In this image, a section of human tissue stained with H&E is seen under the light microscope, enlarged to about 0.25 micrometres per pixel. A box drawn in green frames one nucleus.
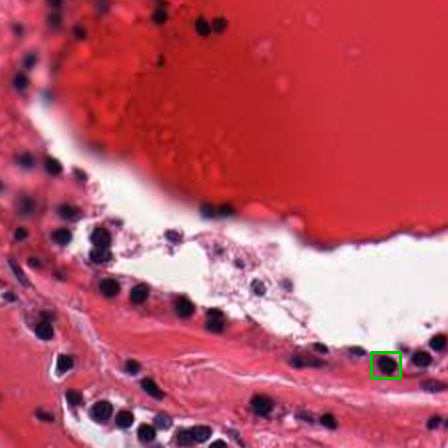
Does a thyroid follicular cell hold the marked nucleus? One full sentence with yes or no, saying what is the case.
Yes, the marked nucleus is the nucleus belonging to a thyroid follicular cell.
